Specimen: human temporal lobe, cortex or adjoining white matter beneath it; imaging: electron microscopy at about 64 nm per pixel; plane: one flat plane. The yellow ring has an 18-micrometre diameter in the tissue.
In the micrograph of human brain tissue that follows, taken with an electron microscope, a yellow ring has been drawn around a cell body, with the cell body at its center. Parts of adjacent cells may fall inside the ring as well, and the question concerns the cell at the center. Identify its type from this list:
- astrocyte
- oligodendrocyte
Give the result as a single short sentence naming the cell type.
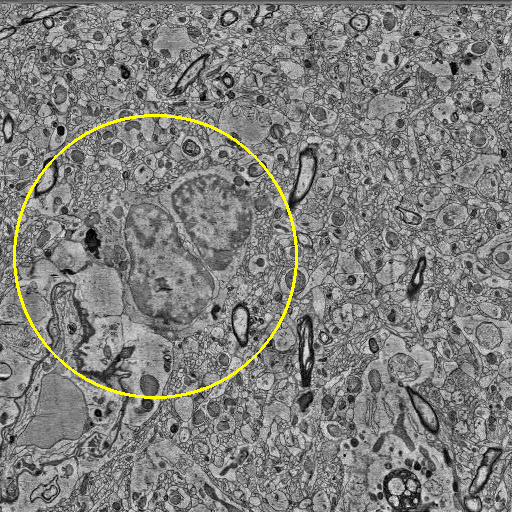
The ring is centered on an oligodendrocyte.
